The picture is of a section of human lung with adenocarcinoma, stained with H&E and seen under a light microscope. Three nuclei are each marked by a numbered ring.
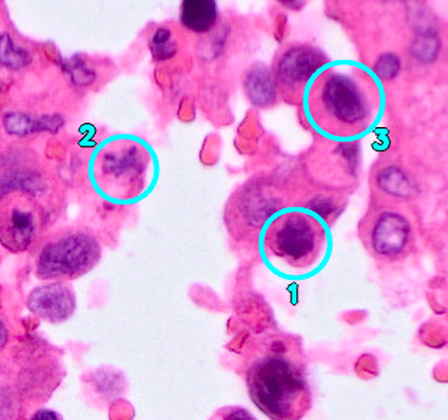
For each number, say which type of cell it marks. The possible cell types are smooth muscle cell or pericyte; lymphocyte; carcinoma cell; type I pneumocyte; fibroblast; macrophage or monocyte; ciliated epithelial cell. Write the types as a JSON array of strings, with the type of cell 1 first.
["carcinoma cell", "macrophage or monocyte", "carcinoma cell"]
